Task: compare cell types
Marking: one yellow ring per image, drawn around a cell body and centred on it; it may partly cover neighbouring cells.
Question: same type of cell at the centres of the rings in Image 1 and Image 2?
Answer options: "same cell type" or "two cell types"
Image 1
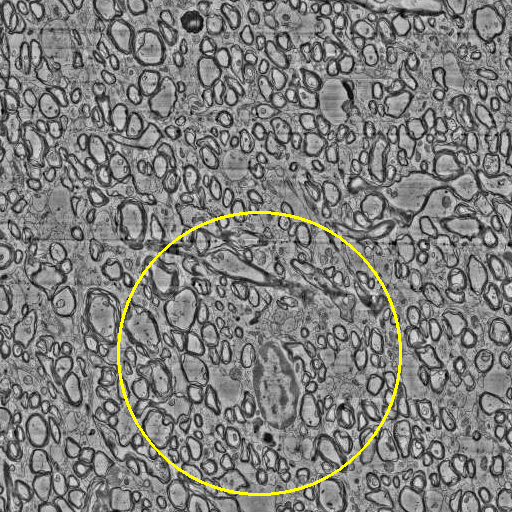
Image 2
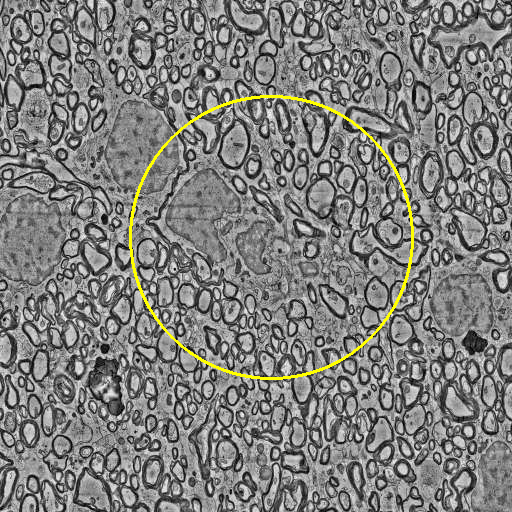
two cell types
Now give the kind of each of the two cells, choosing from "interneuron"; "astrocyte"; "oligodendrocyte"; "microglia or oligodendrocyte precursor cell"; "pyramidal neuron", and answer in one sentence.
The cell in the first picture is a microglial cell or oligodendrocyte precursor cell, and the cell in the second is an oligodendrocyte.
